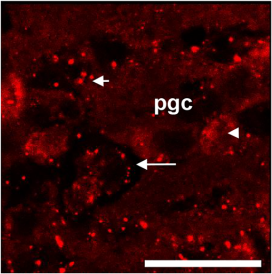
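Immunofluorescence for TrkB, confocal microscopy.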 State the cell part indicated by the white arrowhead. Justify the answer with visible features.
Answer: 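Cytoplasm. The arrowhead points to diffuse red labelling inside a rounded cell profile. The labelled area lies within the cell outline, not at its edge.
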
